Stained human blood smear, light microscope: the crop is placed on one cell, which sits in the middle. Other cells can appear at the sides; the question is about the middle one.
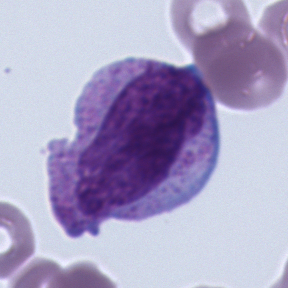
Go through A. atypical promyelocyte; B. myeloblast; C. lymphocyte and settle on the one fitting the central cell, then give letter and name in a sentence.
The one cell at the centre is an atypical promyelocyte, as correctly stated in option A.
